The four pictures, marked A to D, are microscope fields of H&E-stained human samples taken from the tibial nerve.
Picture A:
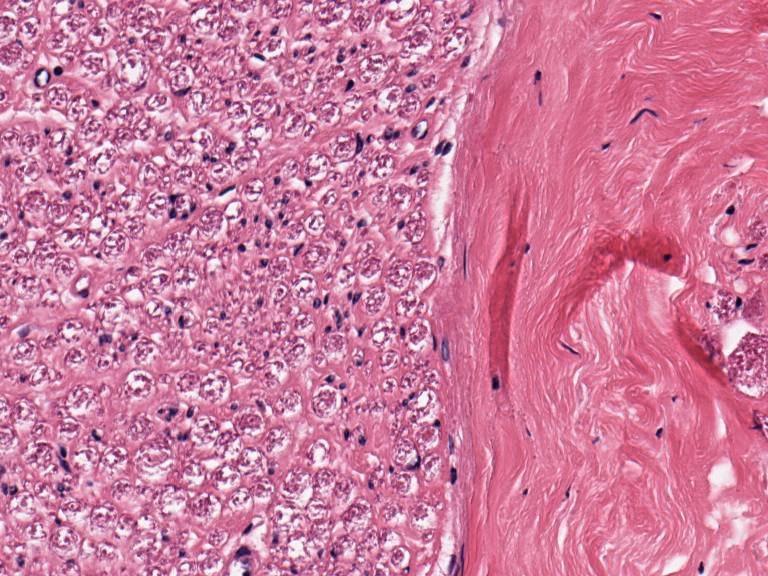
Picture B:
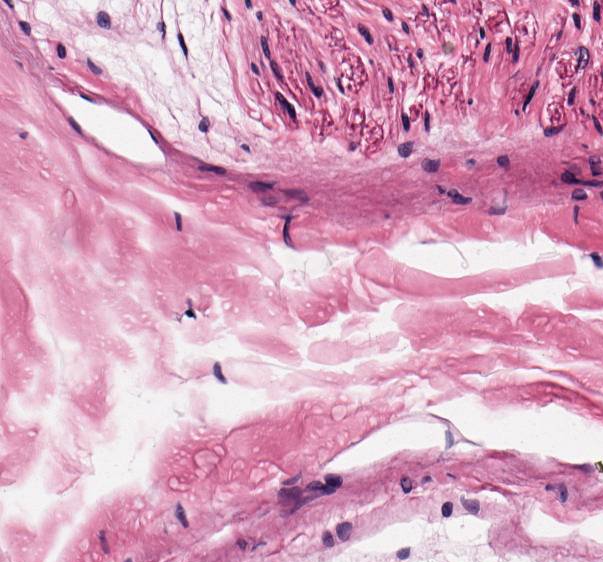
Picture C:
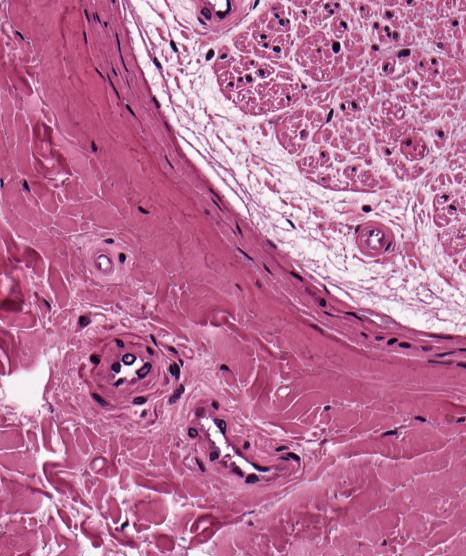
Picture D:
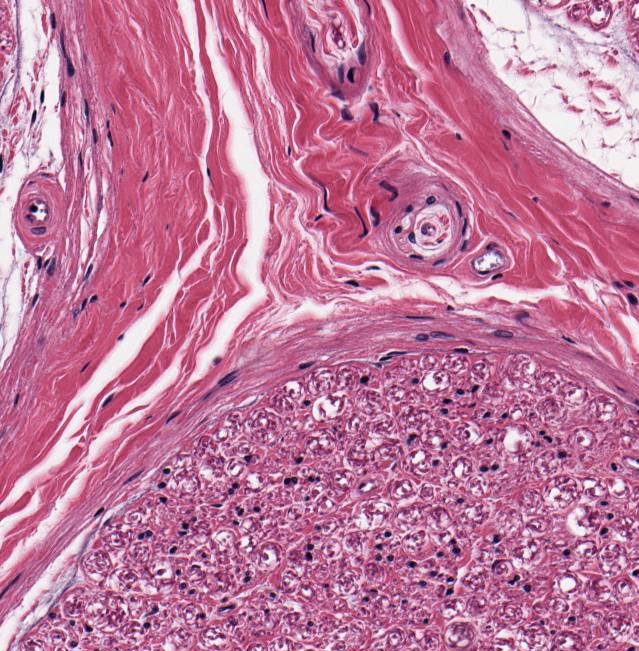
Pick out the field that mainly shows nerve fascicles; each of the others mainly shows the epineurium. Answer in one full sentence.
Picture A is the field that mainly shows nerve fascicles.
